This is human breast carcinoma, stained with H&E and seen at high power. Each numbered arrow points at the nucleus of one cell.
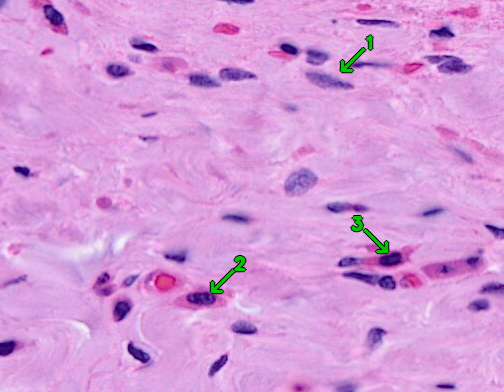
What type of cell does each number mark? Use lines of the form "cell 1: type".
cell 1: fibroblast
cell 2: mast cell
cell 3: mast cell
